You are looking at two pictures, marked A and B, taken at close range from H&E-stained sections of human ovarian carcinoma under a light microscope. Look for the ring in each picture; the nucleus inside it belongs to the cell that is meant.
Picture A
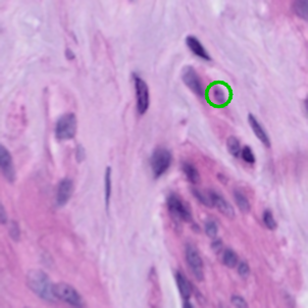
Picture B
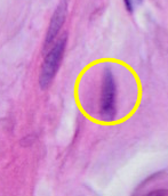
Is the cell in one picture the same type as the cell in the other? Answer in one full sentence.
Yes; the cells in both pictures are smooth muscle cells.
